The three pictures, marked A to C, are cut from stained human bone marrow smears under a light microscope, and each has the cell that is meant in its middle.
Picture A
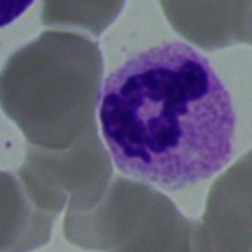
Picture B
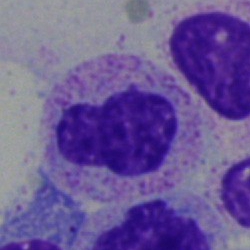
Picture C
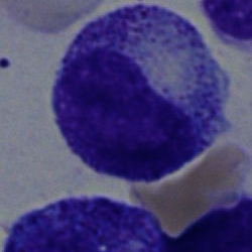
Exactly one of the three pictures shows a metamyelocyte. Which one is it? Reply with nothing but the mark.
B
